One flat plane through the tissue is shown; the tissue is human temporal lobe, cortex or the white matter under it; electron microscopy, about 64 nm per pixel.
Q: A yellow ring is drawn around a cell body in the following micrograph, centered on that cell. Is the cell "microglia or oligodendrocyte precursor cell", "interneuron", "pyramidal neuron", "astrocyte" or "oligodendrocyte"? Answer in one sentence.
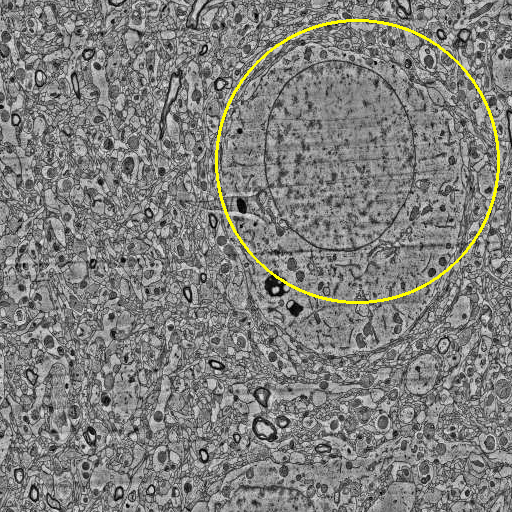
The cell in the center of the ring is a pyramidal neuron.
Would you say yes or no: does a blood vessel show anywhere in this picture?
No, there is no blood vessel.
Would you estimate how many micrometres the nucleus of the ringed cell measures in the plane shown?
About 12 micrometres by about 10 micrometres in this plane.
